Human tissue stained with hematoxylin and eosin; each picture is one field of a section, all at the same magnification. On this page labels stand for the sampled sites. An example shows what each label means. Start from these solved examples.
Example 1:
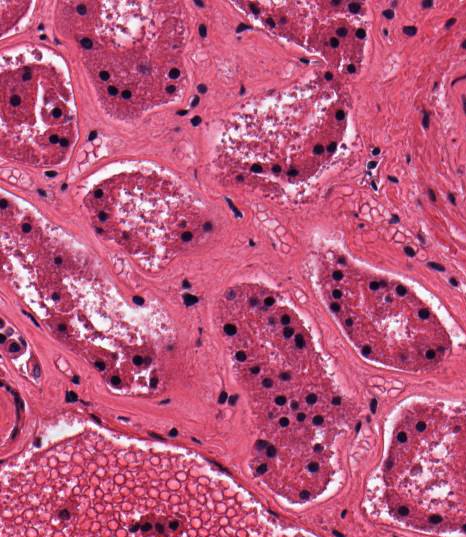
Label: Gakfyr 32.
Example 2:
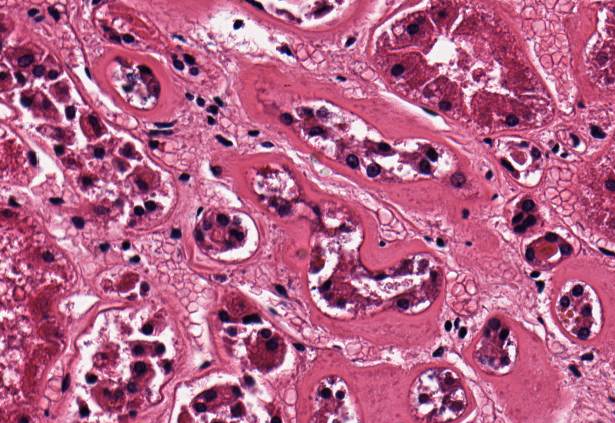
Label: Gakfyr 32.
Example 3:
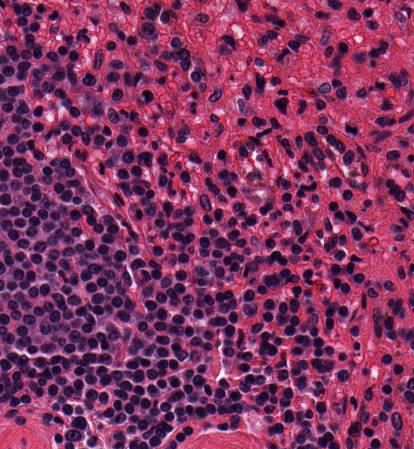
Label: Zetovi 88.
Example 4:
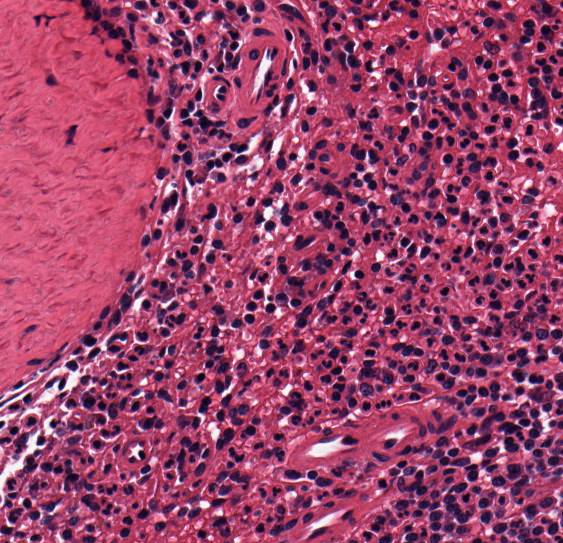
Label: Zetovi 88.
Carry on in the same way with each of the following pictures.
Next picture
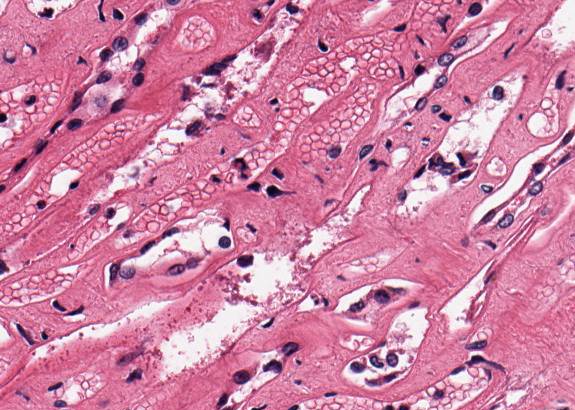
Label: Gakfyr 32.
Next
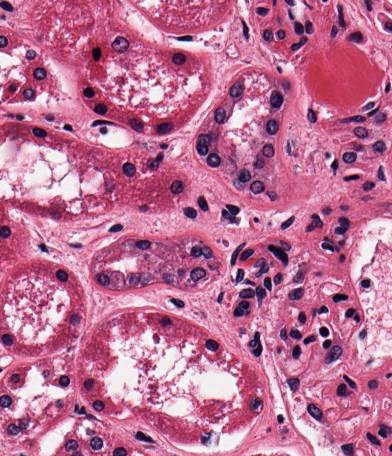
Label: Gakfyr 32.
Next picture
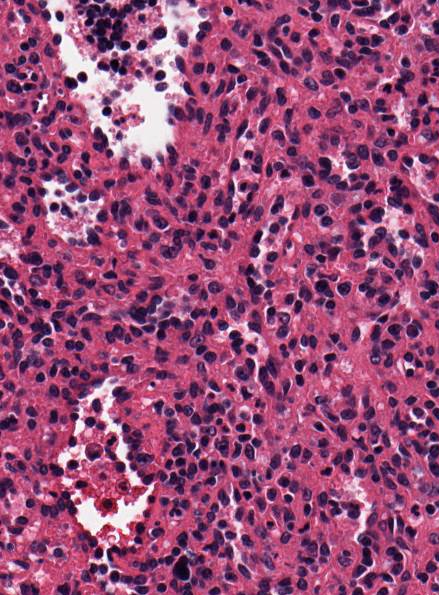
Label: Zetovi 88.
